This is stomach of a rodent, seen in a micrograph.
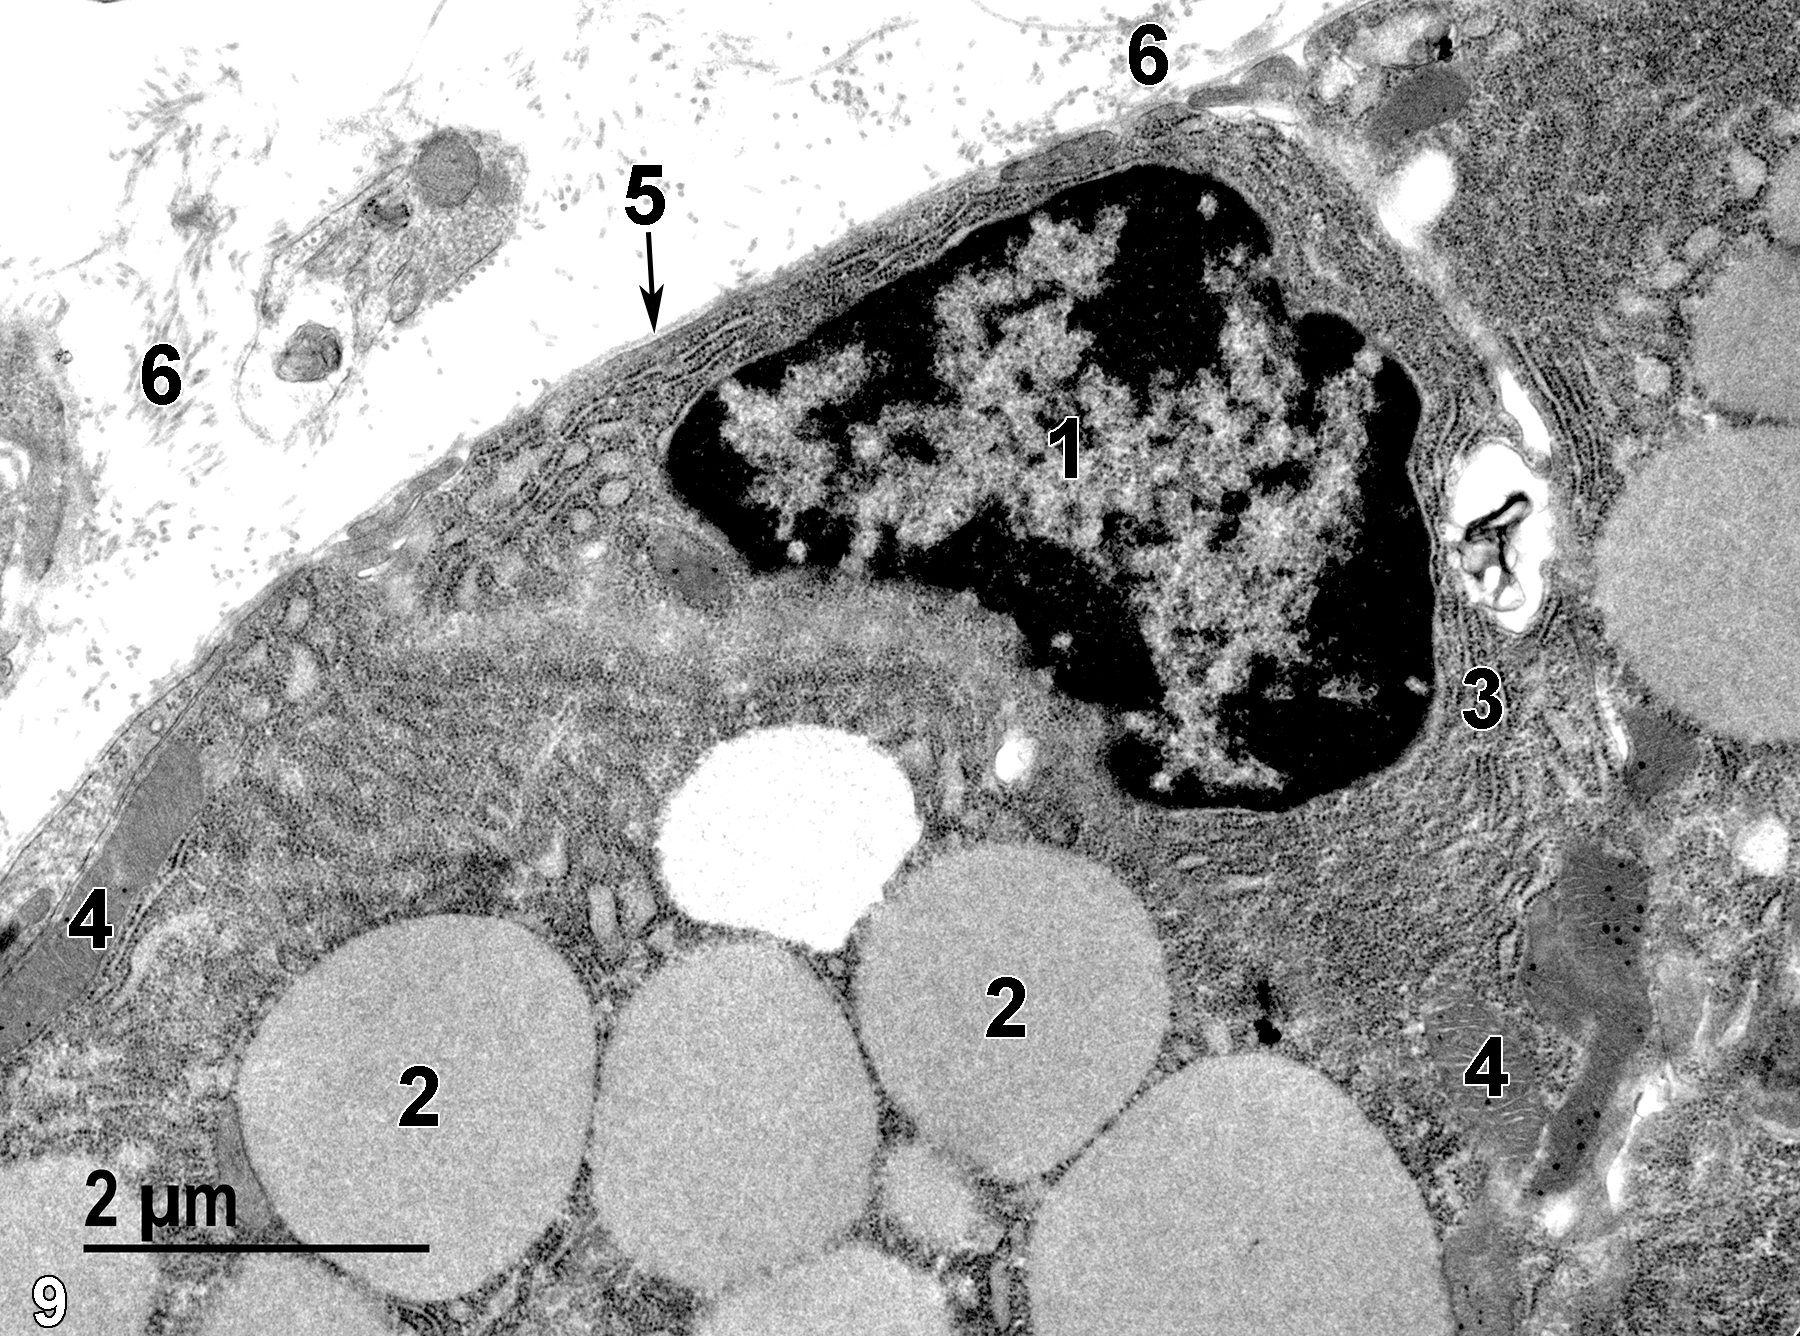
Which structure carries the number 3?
Rough endoplasmic reticulum.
